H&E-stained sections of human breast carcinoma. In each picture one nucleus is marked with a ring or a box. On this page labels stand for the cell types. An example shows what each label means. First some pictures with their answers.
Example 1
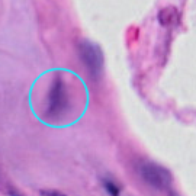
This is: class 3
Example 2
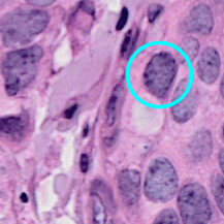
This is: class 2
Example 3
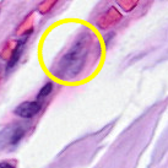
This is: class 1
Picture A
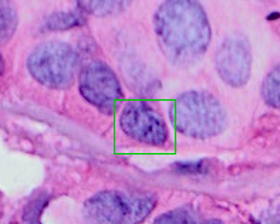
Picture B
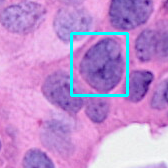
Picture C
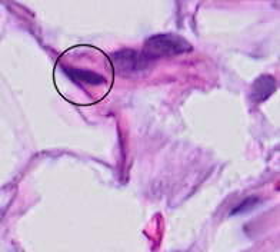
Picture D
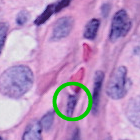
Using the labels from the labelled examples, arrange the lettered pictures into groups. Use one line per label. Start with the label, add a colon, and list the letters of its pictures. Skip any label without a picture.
class 2: A, B
class 1: C, D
